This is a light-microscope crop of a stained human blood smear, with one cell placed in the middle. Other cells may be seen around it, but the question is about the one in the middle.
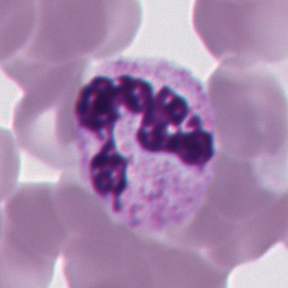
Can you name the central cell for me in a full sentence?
The crop centres on a single cell, and that cell is a segmented neutrophil.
